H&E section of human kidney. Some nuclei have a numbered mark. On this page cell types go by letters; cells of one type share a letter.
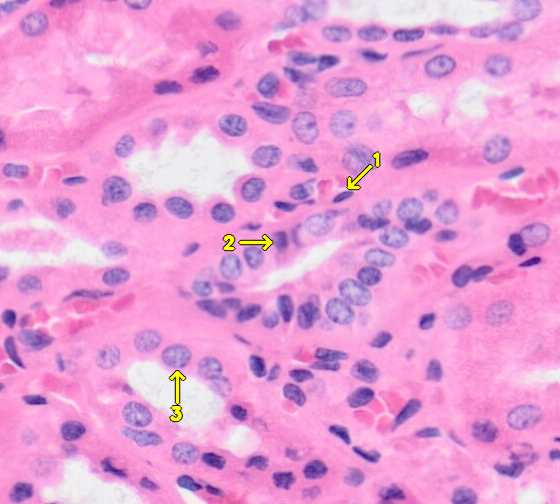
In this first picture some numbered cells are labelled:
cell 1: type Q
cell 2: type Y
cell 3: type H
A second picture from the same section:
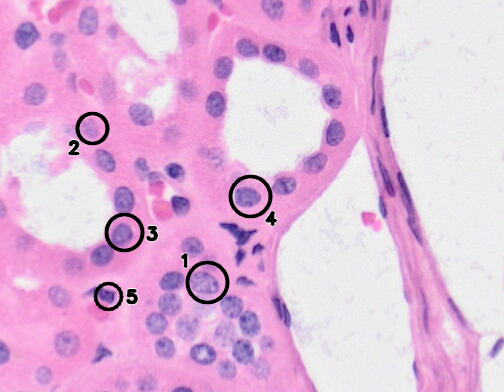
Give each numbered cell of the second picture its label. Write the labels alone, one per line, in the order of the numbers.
type Y
type H
type H
type H
type Q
